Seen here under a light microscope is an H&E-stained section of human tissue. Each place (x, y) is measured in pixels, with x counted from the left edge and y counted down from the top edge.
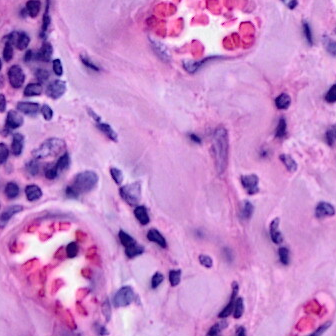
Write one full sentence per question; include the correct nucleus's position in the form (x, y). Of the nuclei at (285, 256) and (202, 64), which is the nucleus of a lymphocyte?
Which one belongs to a lymphocyte? The nucleus at (285, 256) does.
